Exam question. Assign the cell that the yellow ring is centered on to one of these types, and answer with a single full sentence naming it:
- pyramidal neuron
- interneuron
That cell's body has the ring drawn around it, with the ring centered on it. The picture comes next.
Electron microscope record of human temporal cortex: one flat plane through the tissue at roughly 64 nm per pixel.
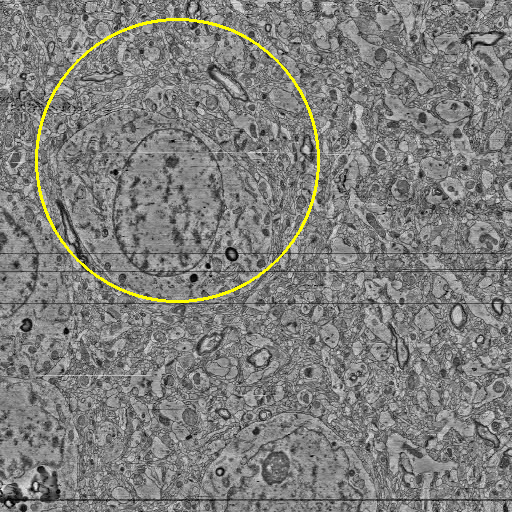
In the micrograph, the cell the yellow ring is centered on is a pyramidal neuron.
